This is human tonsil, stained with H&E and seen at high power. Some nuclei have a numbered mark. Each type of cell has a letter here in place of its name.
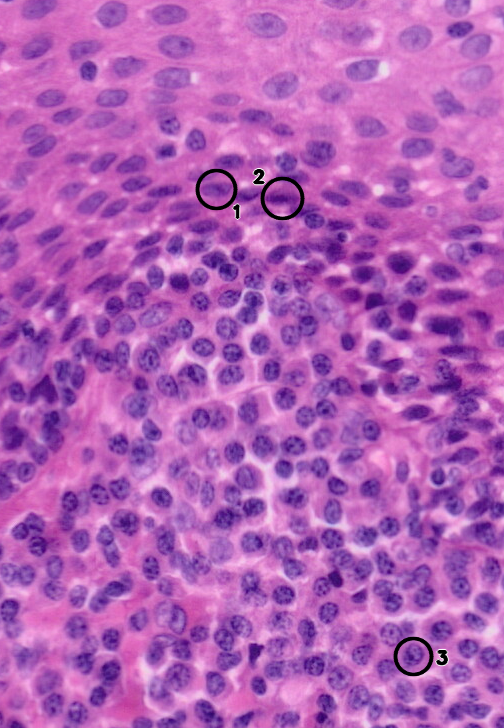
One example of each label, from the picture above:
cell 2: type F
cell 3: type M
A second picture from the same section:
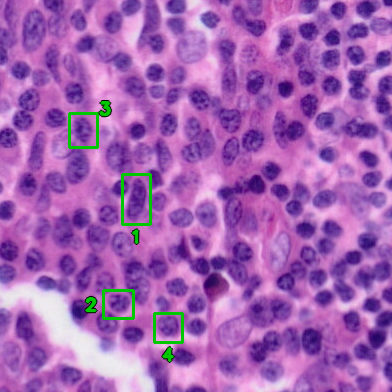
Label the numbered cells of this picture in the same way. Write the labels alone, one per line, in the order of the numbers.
type F
type M
type M
type M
